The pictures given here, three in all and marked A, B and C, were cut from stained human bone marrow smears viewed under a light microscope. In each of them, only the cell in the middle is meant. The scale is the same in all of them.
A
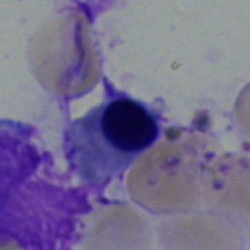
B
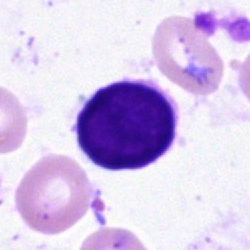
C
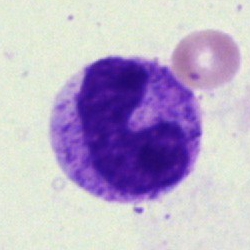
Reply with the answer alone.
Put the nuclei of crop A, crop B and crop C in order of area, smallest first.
A, B, C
